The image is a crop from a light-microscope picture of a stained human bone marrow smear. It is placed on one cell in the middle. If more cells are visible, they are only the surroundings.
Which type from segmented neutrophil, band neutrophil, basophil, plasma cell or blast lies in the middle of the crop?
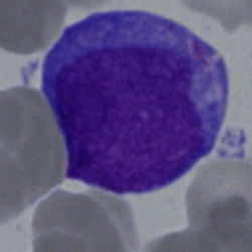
blast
